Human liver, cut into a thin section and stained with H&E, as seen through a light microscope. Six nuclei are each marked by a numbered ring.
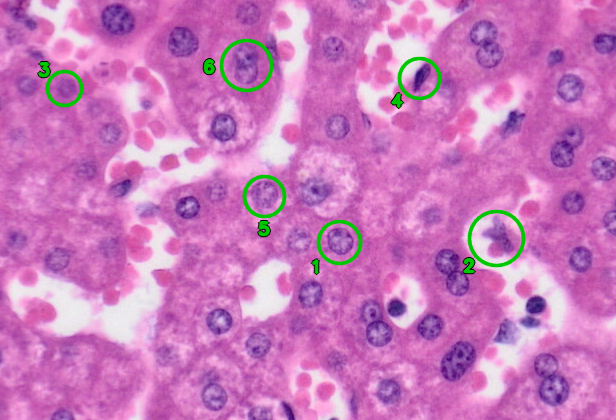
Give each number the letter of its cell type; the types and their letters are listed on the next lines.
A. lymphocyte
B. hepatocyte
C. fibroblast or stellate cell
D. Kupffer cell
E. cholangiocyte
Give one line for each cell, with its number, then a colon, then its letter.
1: B
2: D
3: B
4: C
5: B
6: B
